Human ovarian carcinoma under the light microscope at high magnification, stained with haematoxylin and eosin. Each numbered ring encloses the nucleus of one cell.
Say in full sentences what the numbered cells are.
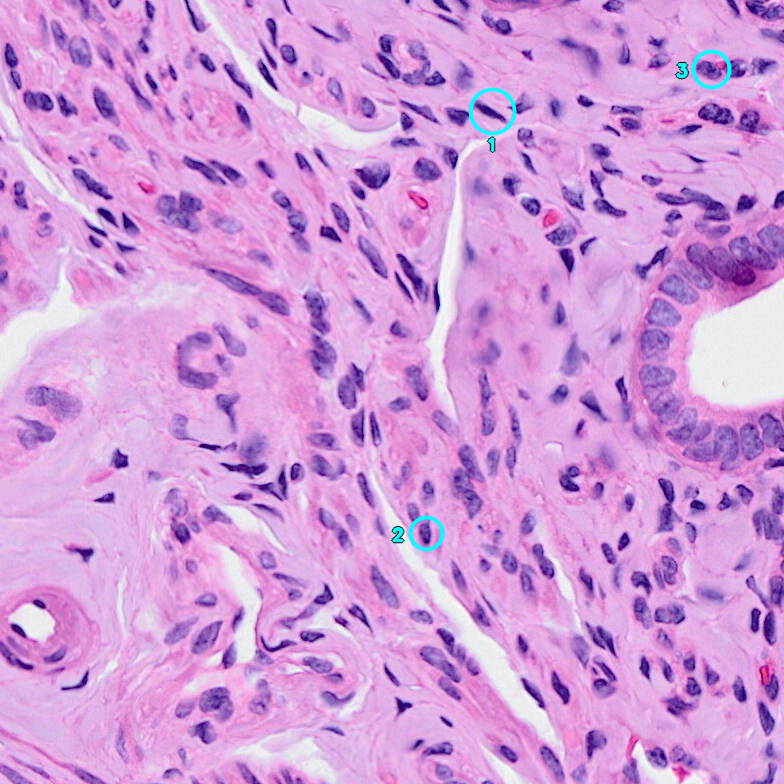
Cell 1 is a fibroblast. Cell 2 is a smooth muscle cell. Cell 3 is an endothelial cell.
